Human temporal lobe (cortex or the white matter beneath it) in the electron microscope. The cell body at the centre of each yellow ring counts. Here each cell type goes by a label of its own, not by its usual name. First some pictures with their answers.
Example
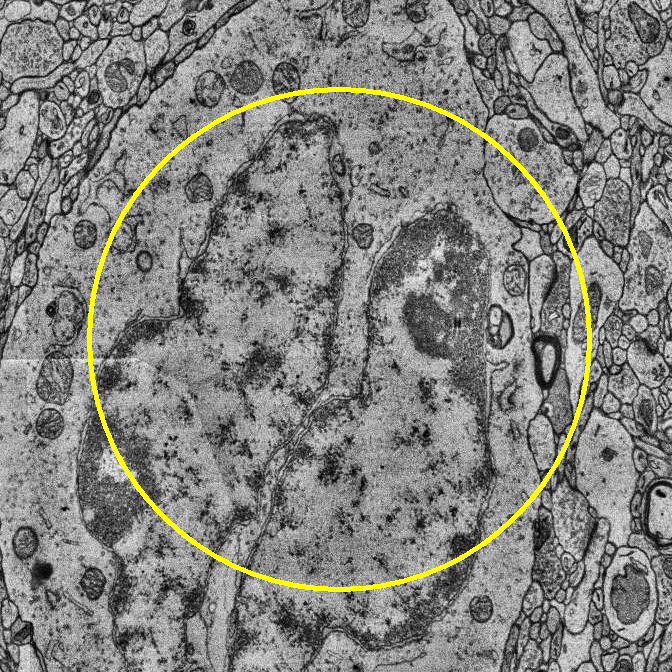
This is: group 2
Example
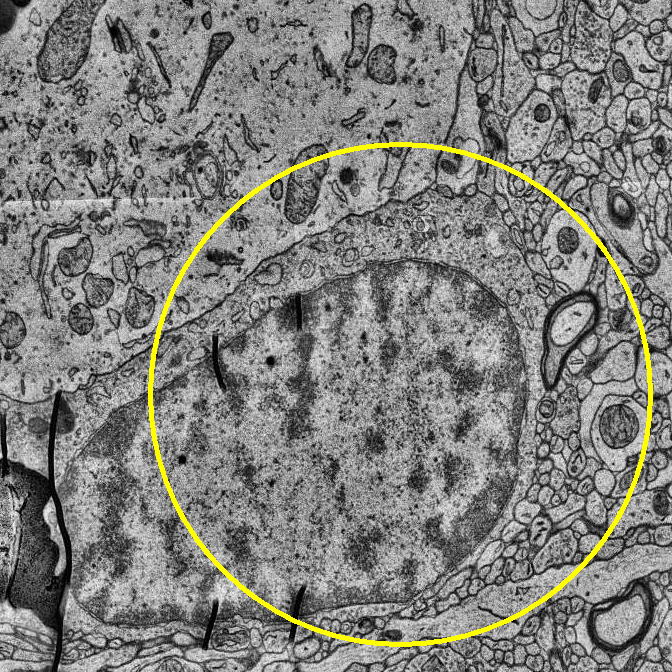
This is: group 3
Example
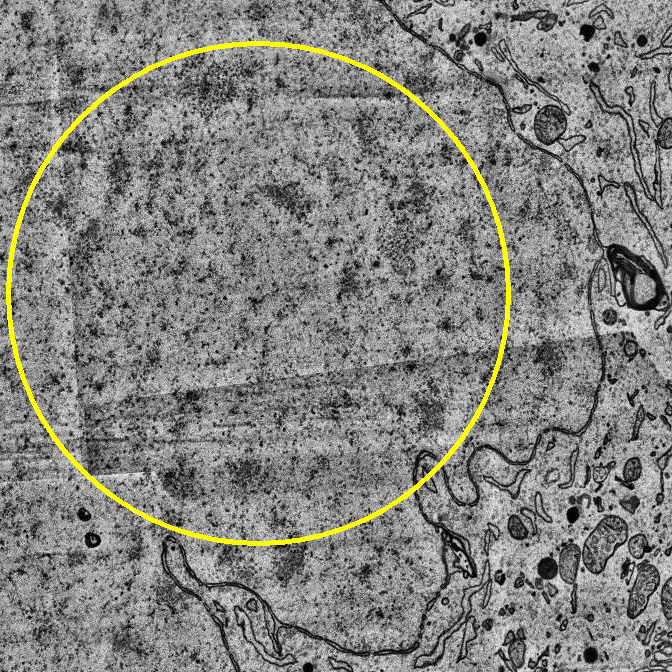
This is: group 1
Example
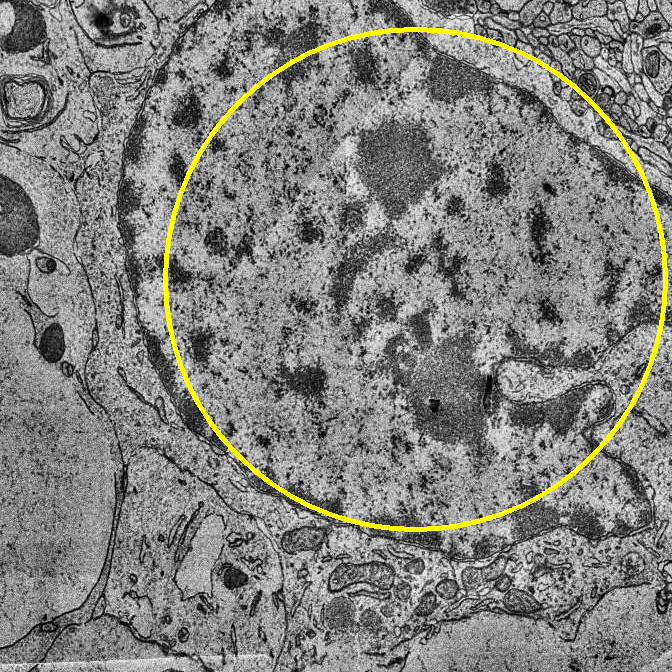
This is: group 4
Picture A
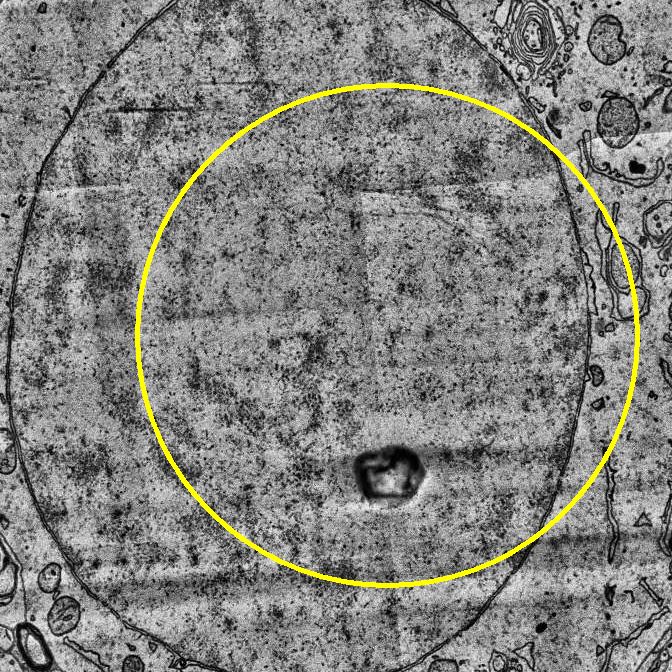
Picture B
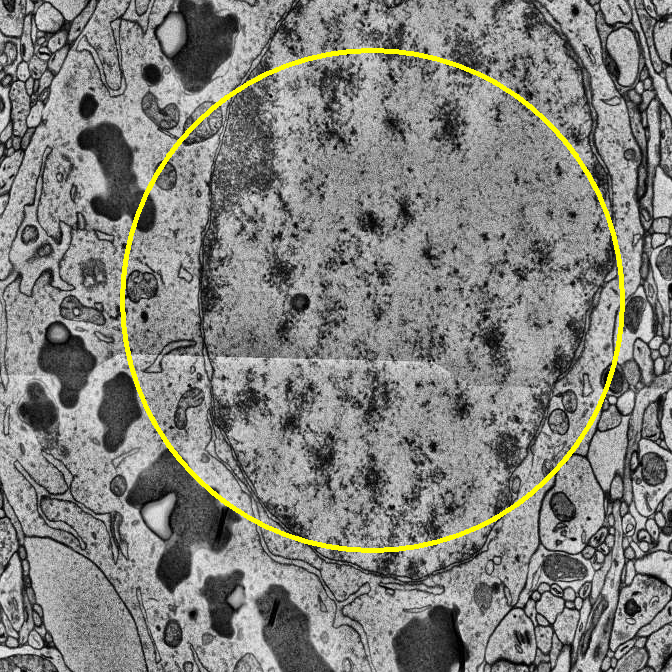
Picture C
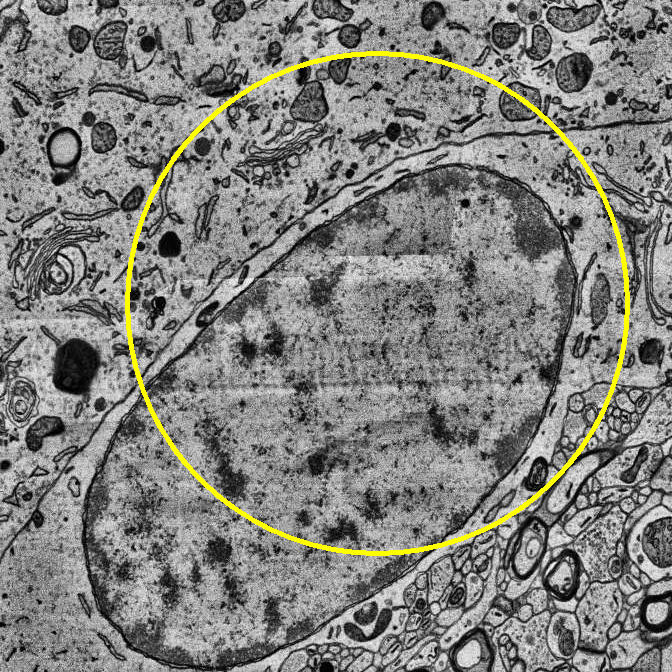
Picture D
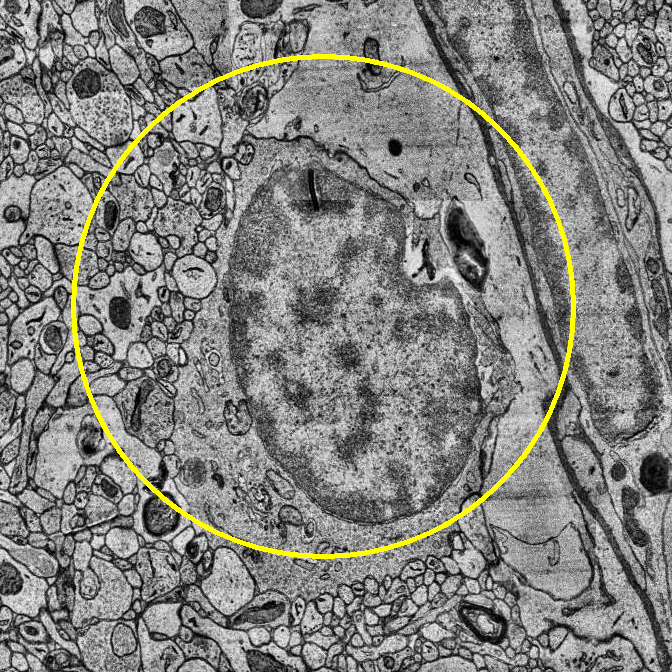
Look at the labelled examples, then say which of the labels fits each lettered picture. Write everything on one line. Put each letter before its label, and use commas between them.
A group 1, B group 2, C group 4, D group 3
